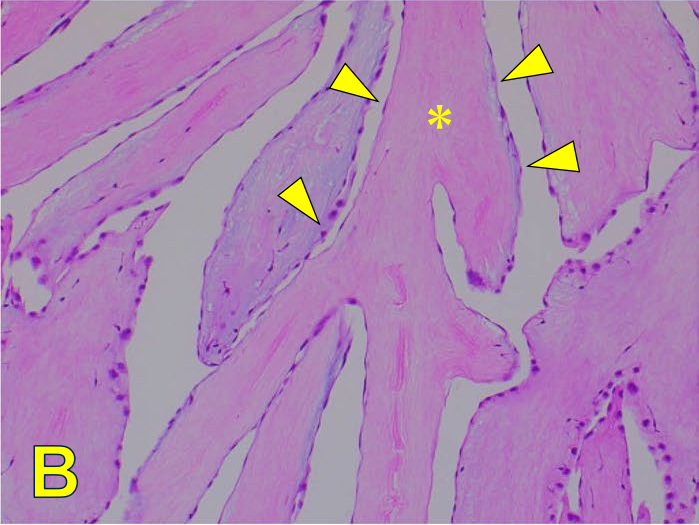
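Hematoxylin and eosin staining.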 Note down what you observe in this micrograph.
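Numerous slender, branching finger-like fronds spread out from a broader central stalk, separated by clear spaces. Their cores are made of dense, pink, fibrillar material with only a few nuclei and no visible vessels, and some cores have a paler bluish tint. Each frond is covered on its surface by a single layer of flattened to plump lining cells with small, dark purple nuclei. This is a fronded papillary lesion whose avascular connective-tissue cores are covered by an endothelial lining.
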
